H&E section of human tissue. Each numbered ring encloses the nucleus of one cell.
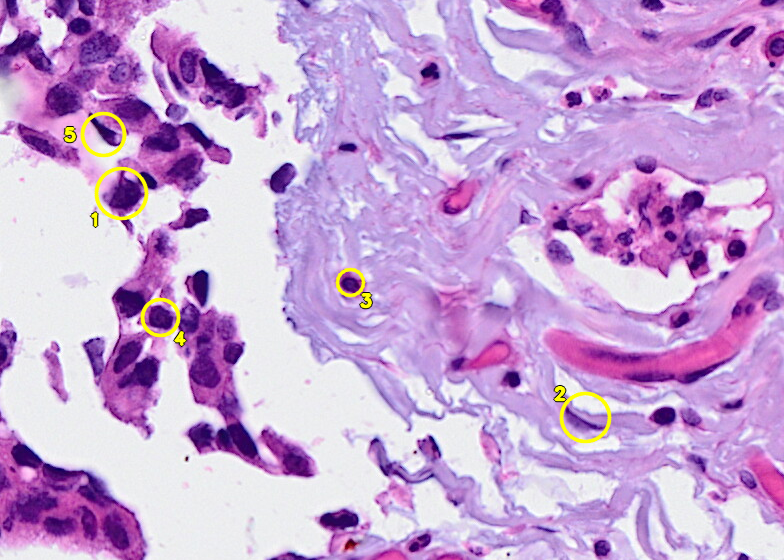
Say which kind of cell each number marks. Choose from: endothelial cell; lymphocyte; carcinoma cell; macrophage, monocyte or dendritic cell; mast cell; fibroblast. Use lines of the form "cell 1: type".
cell 1: carcinoma cell
cell 2: fibroblast
cell 3: mast cell
cell 4: carcinoma cell
cell 5: carcinoma cell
